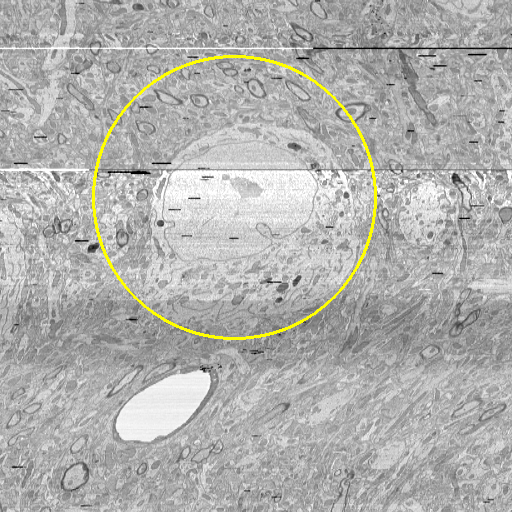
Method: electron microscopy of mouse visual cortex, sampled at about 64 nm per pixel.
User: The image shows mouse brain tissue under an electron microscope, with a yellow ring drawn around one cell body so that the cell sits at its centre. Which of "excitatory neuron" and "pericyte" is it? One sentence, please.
At the centre of the ring sits an excitatory neuron.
